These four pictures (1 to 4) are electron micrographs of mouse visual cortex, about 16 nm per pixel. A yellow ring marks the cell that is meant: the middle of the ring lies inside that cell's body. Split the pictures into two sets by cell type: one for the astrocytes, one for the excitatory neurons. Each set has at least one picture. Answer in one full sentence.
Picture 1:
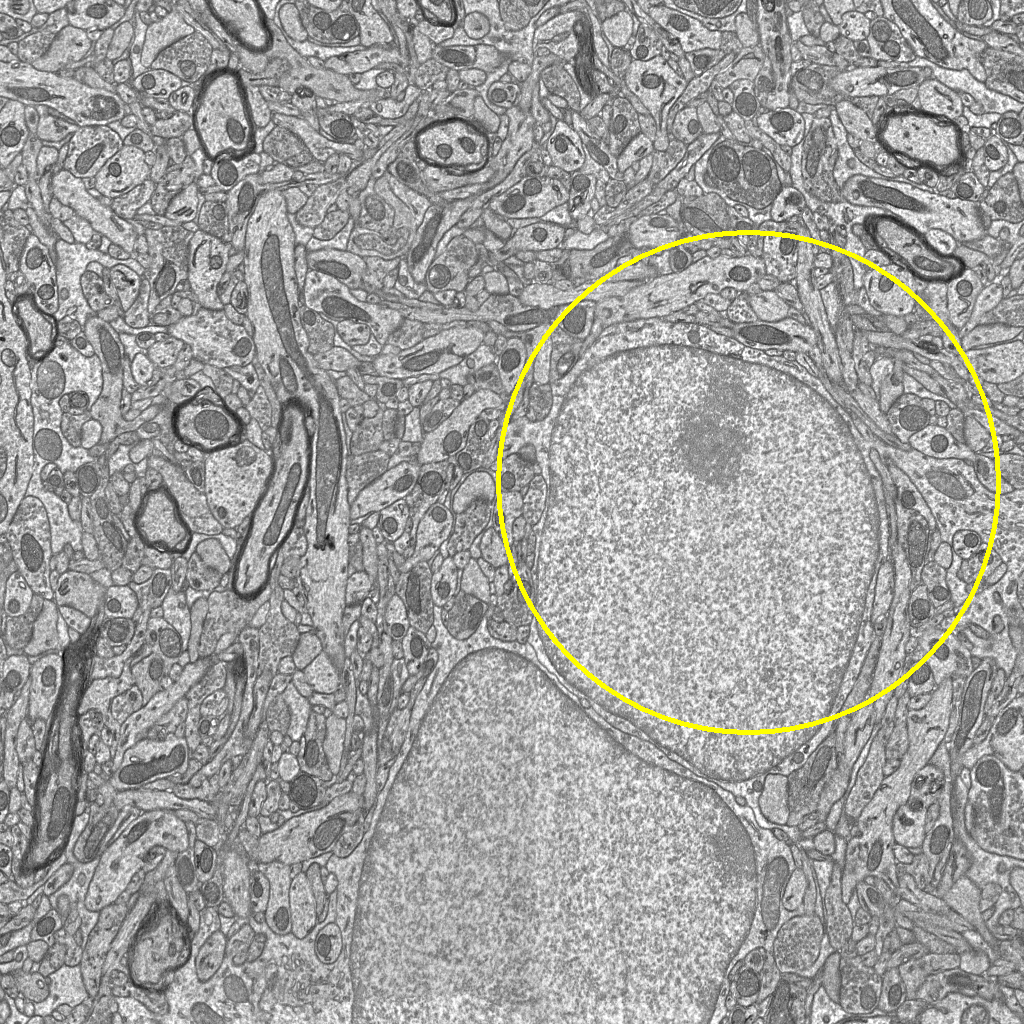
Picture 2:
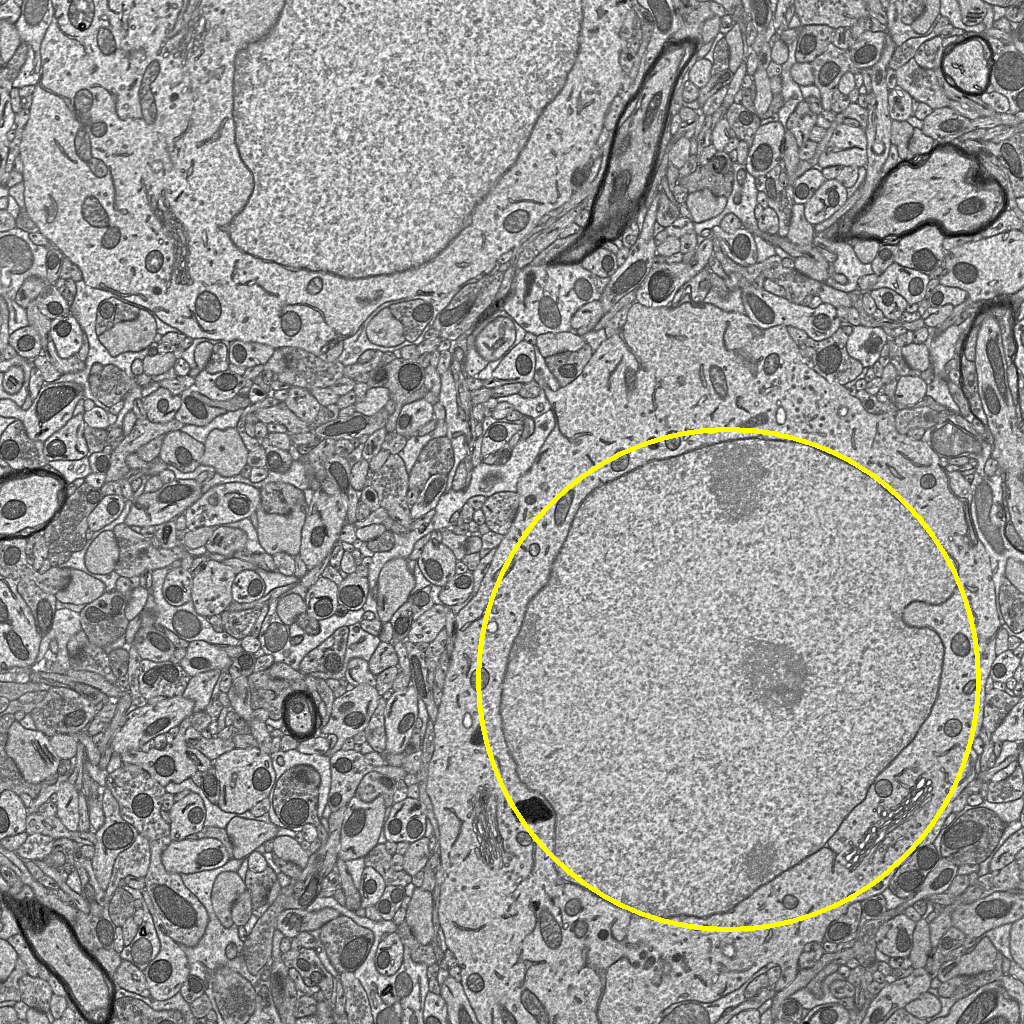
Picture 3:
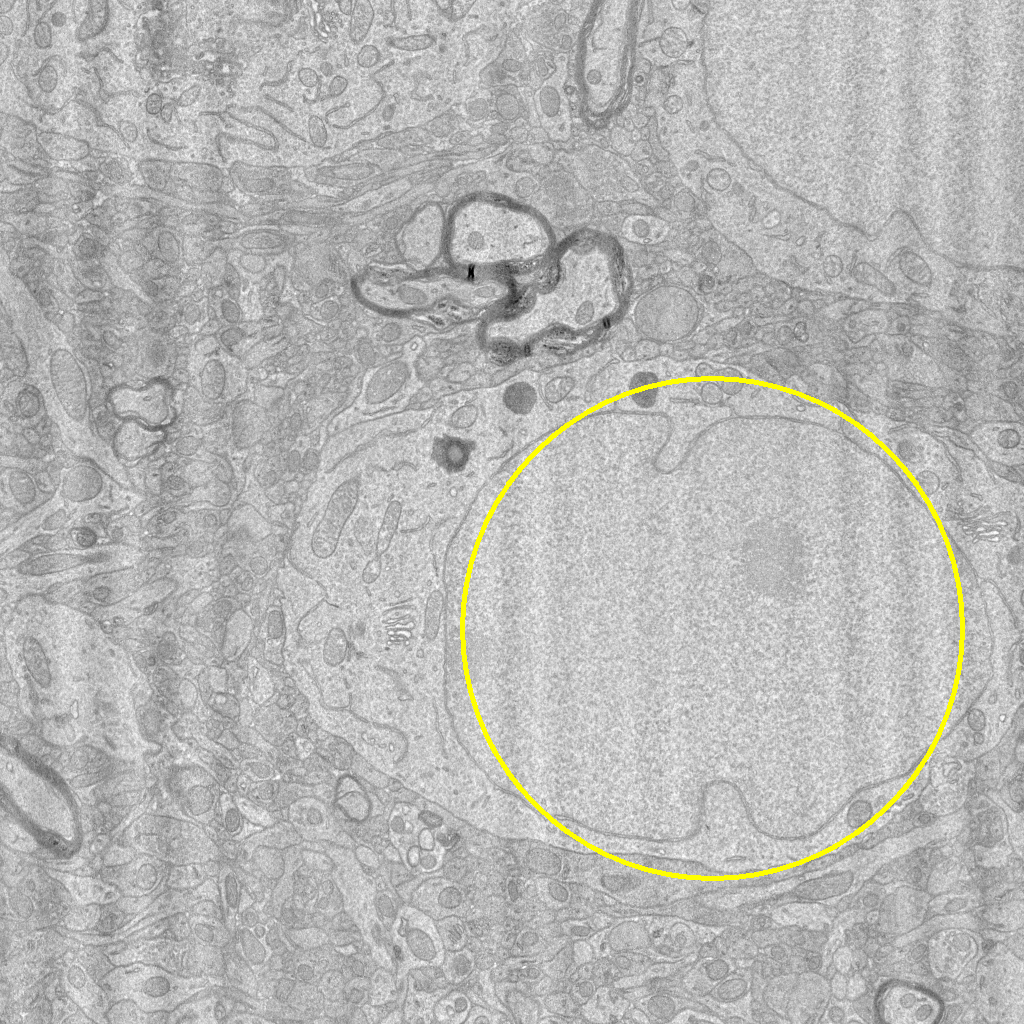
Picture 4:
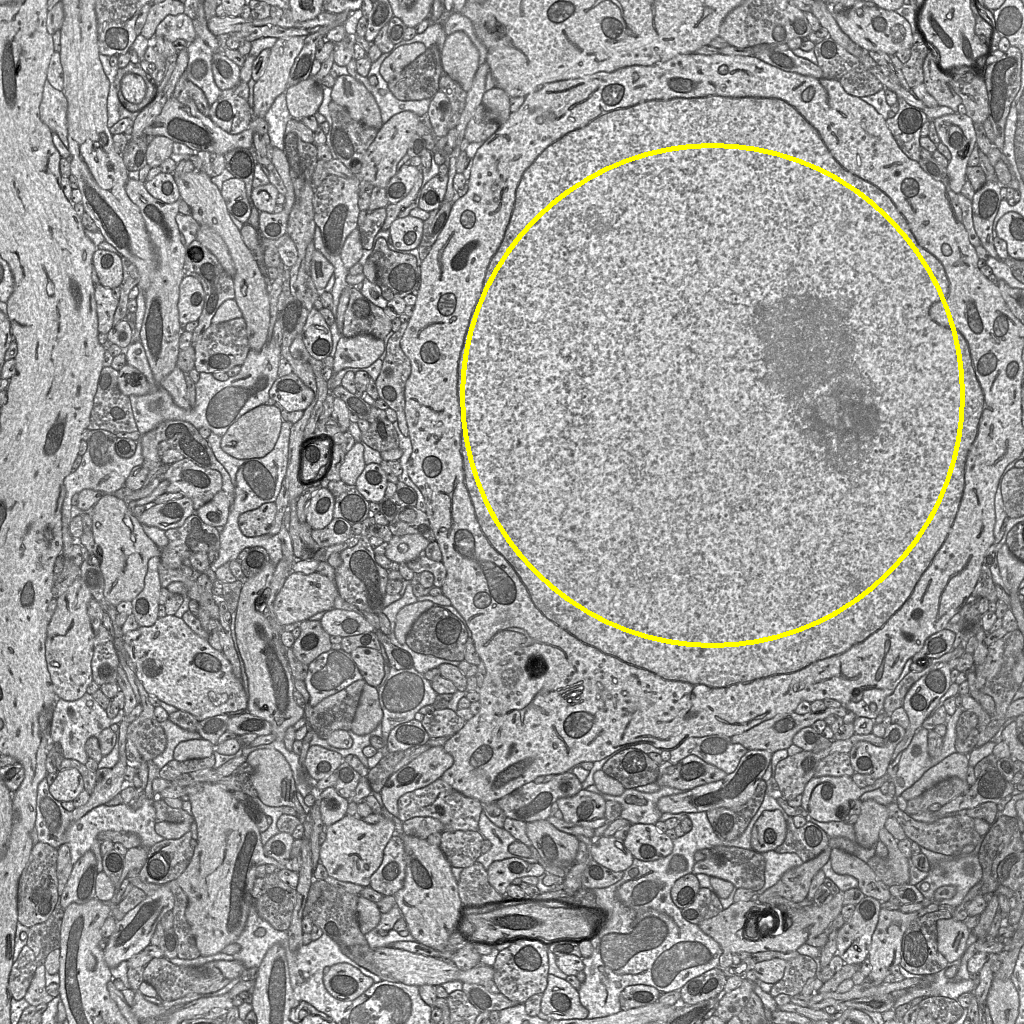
Picture 1 shows an astrocyte, while pictures 2, 3 and 4 show excitatory neurons.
